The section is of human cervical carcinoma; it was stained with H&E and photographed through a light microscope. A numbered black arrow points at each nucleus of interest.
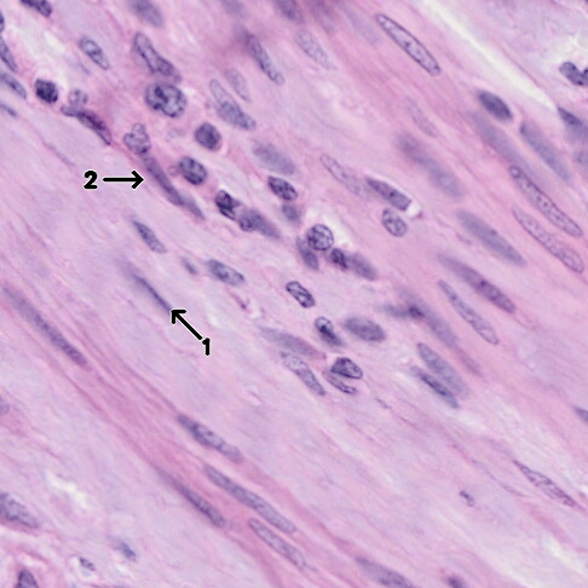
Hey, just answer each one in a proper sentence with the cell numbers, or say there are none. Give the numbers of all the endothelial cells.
Cell 2 is an endothelial cell, and it is the only one.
